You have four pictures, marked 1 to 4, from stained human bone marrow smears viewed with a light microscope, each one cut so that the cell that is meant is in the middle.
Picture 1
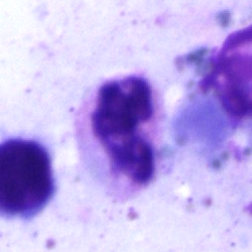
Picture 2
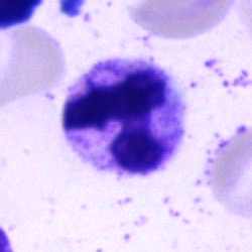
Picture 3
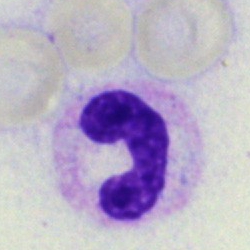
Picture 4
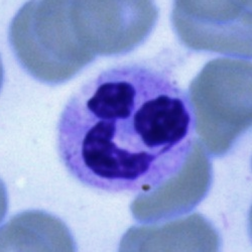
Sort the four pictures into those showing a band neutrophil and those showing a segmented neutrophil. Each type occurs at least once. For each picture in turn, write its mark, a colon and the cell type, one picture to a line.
1: segmented neutrophil
2: segmented neutrophil
3: band neutrophil
4: segmented neutrophil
